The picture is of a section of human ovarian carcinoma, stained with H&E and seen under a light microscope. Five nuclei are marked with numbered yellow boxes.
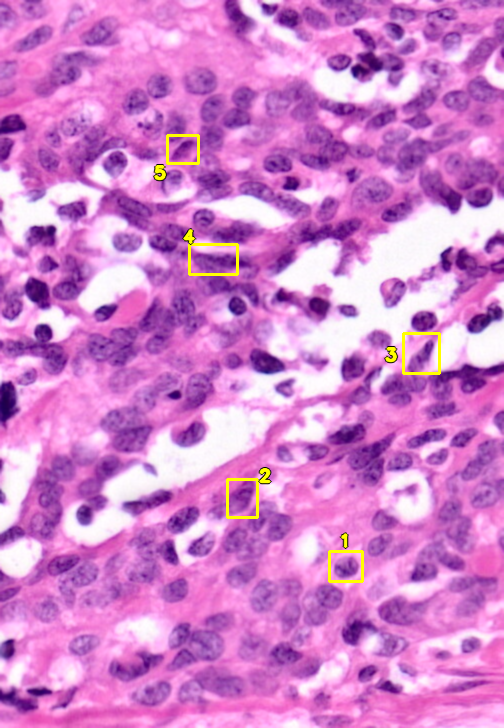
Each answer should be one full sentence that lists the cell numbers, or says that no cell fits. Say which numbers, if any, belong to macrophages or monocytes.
The cells with numbers 1 and 3 are macrophages or monocytes by type.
